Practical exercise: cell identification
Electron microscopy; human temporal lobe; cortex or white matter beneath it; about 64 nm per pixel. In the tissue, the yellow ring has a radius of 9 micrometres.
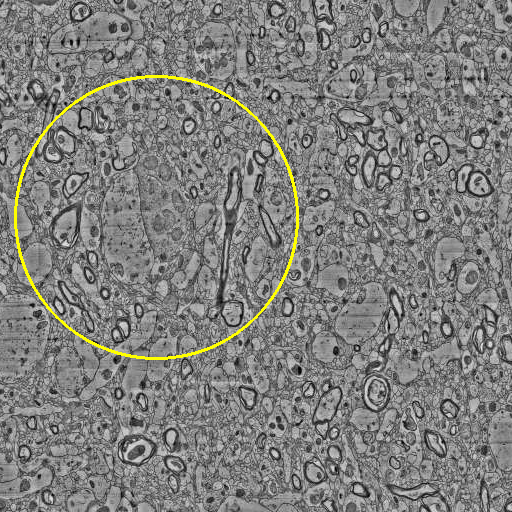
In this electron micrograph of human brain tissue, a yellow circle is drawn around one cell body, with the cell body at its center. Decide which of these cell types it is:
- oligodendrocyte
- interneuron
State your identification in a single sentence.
The ringed cell is an oligodendrocyte.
